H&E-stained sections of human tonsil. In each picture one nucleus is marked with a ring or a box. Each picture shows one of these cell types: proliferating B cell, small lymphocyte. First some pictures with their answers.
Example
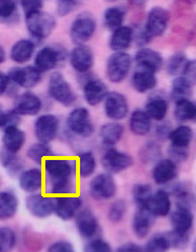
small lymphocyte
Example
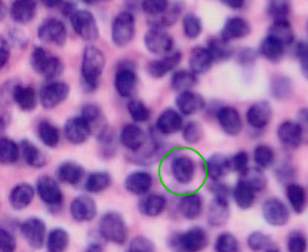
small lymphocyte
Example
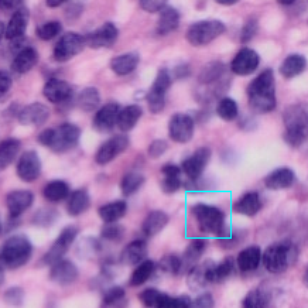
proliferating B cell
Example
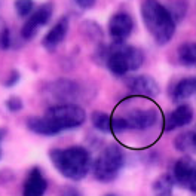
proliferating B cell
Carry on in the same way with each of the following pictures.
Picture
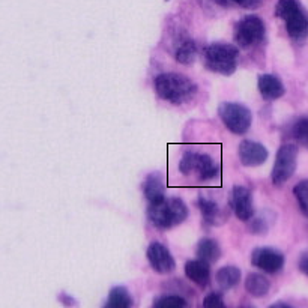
proliferating B cell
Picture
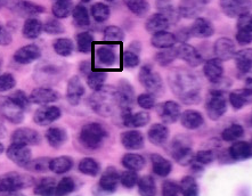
small lymphocyte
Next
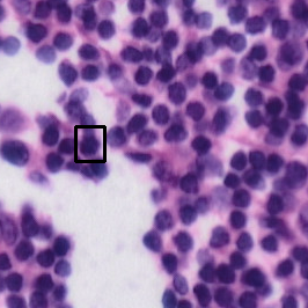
small lymphocyte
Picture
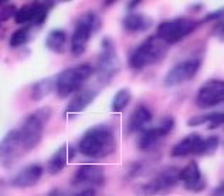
proliferating B cell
